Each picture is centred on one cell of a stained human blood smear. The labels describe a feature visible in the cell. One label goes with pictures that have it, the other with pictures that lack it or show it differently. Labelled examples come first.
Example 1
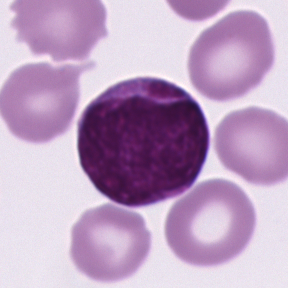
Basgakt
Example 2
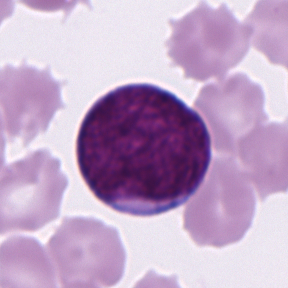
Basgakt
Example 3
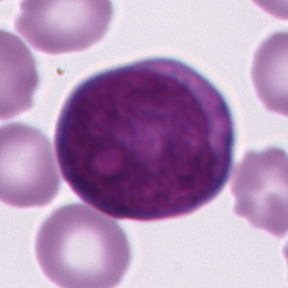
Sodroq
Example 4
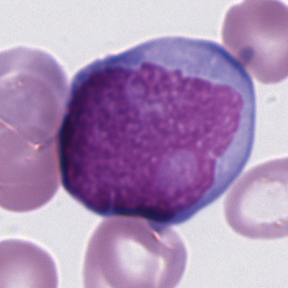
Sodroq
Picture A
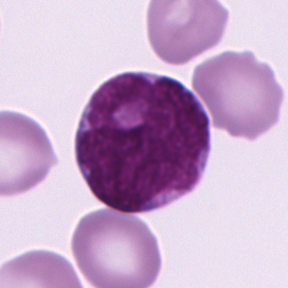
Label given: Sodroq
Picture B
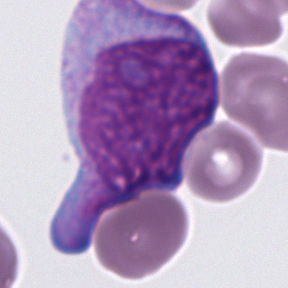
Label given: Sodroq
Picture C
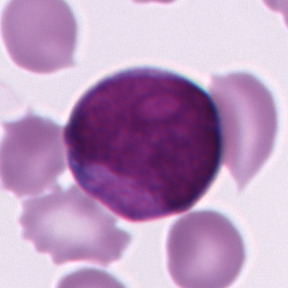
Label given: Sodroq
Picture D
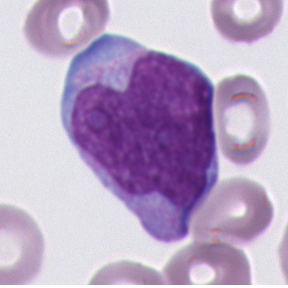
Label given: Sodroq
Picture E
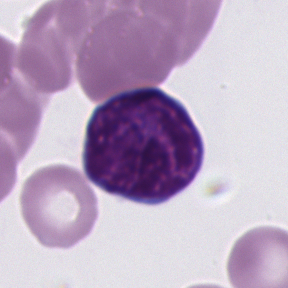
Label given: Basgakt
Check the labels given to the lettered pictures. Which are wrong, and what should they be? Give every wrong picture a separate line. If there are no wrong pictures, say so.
Nothing to fix; every label fits.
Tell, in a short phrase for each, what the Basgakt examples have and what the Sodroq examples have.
In Basgakt: no visible nucleolus. In Sodroq: nucleolus visible.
